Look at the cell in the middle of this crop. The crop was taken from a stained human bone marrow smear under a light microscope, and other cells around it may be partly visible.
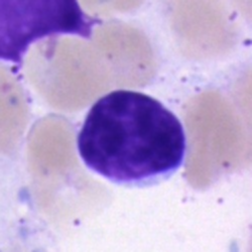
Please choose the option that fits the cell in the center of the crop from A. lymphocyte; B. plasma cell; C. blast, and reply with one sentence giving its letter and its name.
The cell in the middle is correctly identified as a lymphocyte in option A.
